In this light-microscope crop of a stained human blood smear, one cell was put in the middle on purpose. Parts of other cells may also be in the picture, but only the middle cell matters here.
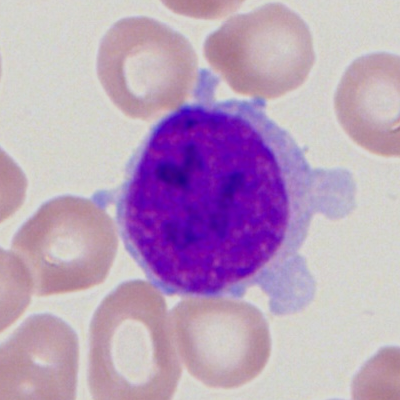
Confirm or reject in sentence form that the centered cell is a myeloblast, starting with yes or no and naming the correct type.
No; rather than a myeloblast, the cell at the center is a lymphocyte.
